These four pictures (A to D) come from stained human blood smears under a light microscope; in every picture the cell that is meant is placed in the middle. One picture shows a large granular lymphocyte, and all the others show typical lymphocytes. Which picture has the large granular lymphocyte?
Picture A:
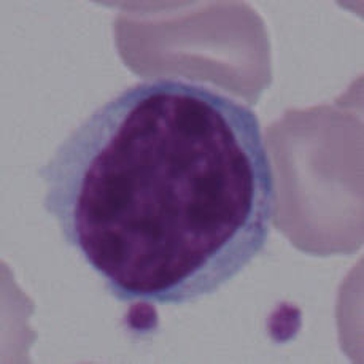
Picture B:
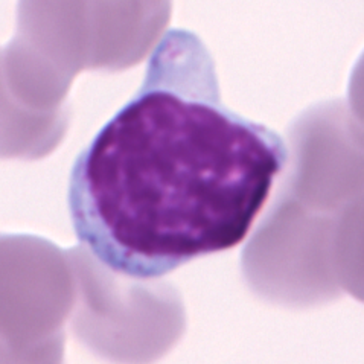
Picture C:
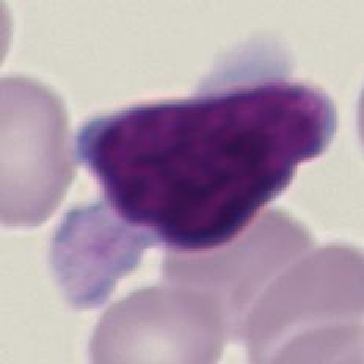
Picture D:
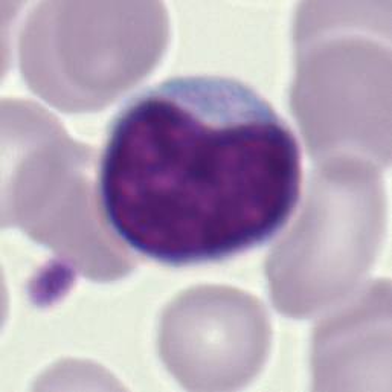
B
